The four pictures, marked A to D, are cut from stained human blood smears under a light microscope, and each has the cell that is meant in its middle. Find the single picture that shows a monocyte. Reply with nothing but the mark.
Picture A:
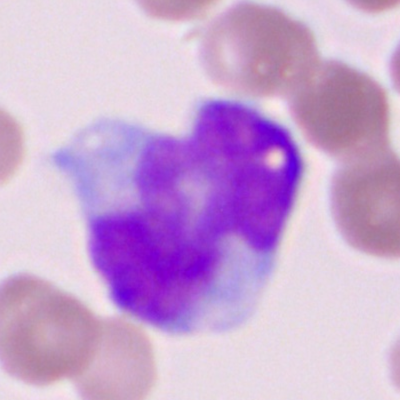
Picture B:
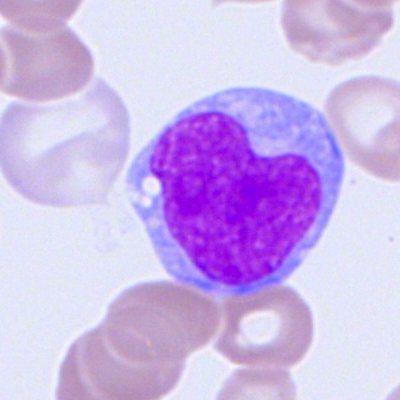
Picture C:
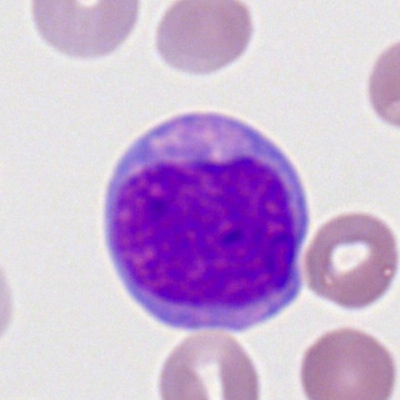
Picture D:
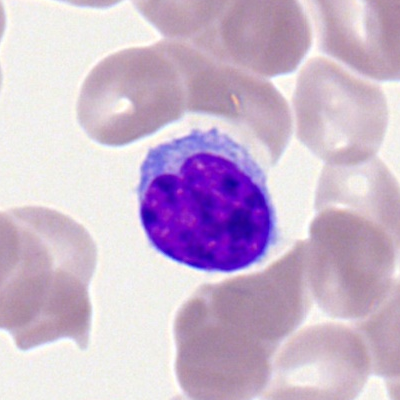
A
